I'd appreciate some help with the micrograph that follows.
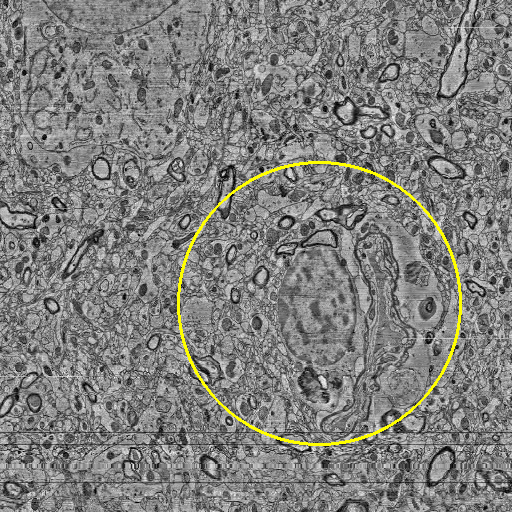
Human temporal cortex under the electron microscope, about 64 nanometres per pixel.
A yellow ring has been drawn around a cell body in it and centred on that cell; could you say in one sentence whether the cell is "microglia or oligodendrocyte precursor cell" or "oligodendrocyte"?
It is an oligodendrocyte at the centre of the ring.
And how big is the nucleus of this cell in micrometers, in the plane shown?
At approximately 8 by 5 micrometres, the nucleus is clearly longer than it is wide in this plane.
